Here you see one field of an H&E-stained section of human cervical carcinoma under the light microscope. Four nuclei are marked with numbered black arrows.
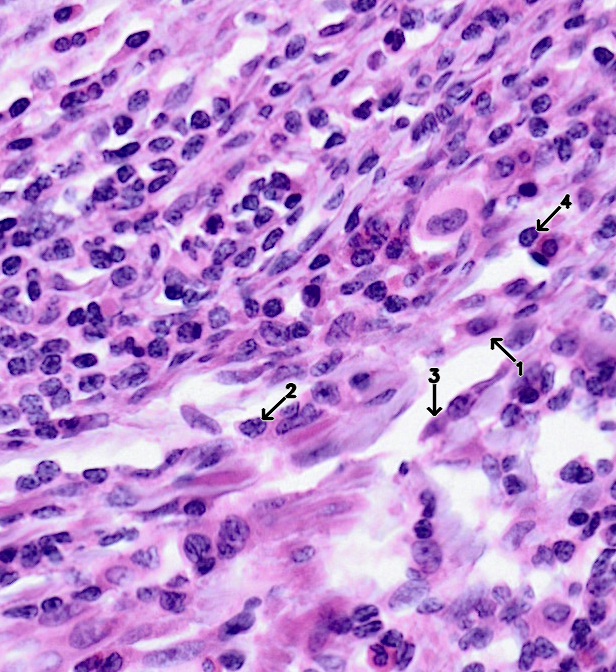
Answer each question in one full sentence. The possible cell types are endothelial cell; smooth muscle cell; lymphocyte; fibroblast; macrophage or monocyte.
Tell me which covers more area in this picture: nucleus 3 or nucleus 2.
Nucleus 2 is the larger one, covering about 1.5 times the area of nucleus 3.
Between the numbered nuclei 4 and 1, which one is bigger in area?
Number 1 is larger; its area is about 1.5 times that of number 4.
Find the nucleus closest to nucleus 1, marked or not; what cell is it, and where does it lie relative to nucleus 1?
Lying above nucleus 1, the nearest nucleus is that of a macrophage or monocyte.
